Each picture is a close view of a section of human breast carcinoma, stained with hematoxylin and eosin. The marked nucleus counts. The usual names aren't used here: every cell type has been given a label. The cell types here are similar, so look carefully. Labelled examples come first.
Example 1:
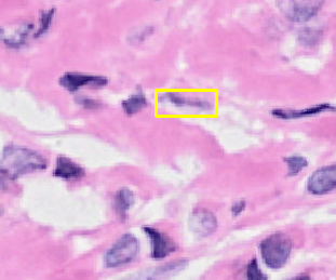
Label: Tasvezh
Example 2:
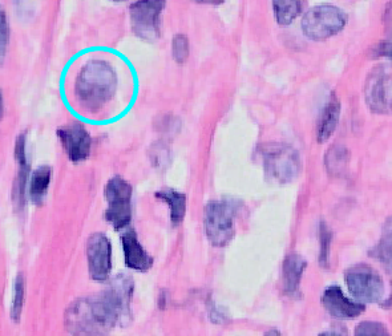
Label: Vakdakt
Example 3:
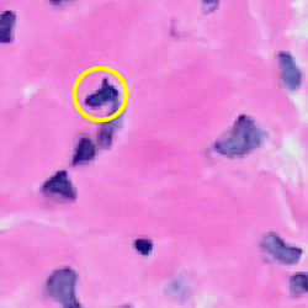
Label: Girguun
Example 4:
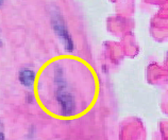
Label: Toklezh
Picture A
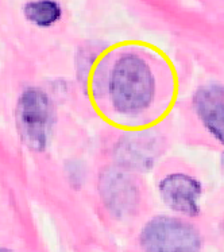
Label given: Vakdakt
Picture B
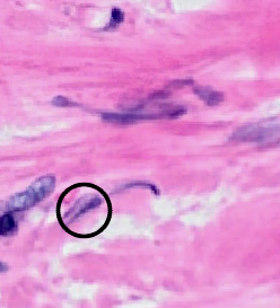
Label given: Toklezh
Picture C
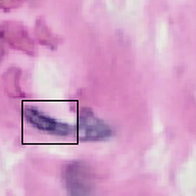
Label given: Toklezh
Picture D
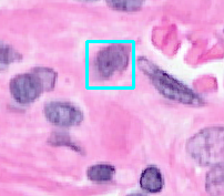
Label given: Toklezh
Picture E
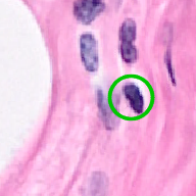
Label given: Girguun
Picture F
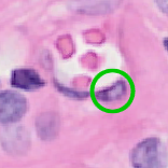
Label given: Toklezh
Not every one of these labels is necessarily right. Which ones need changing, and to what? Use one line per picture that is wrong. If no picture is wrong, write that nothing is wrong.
No label is wrong.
